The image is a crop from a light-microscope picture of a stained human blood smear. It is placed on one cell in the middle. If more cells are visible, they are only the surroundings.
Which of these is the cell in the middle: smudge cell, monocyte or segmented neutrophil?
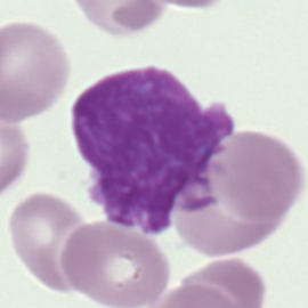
smudge cell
